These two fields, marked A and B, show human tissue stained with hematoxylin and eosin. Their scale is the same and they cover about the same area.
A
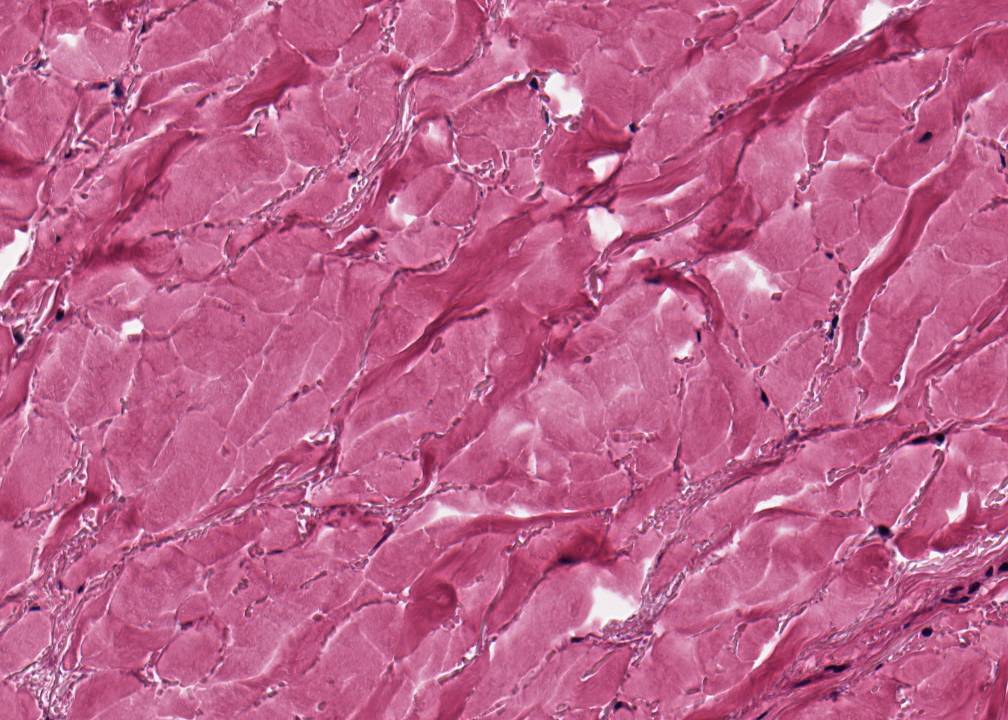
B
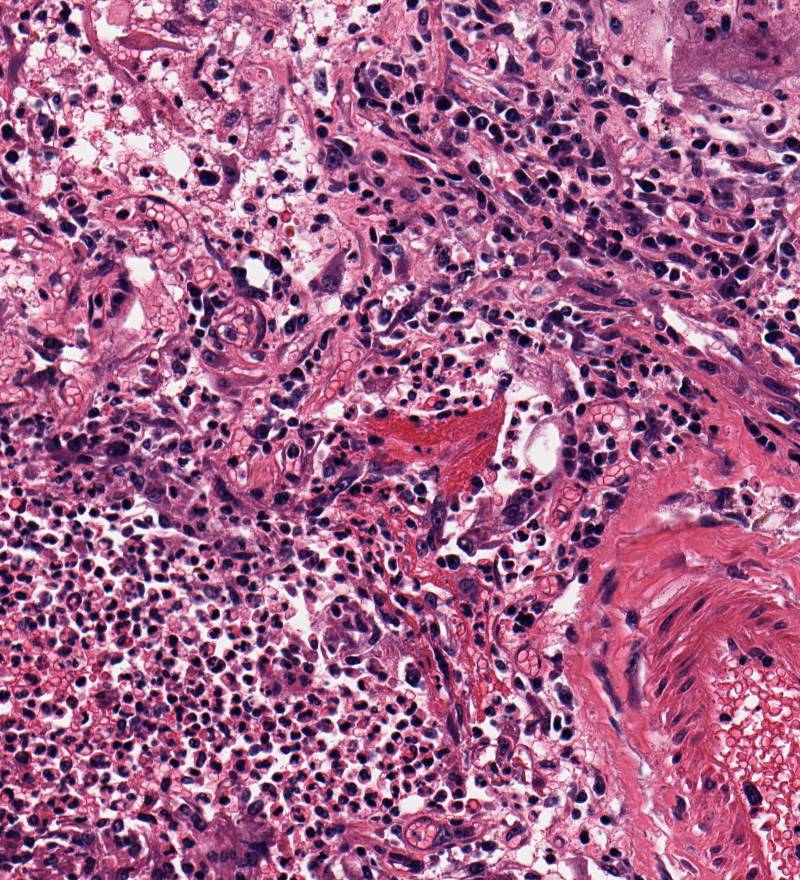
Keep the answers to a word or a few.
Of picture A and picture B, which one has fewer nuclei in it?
A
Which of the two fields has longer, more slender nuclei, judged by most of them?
A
